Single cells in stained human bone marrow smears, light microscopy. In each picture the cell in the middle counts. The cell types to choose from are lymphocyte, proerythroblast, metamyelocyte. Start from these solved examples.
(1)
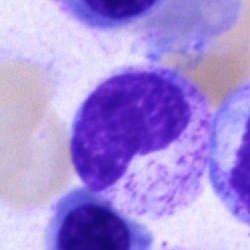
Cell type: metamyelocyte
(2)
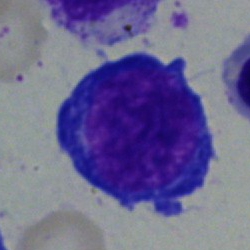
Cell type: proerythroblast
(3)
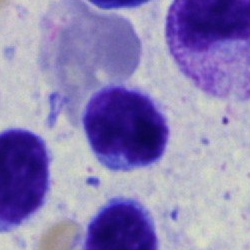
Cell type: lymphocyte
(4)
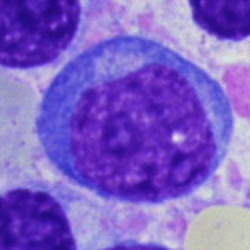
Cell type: proerythroblast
